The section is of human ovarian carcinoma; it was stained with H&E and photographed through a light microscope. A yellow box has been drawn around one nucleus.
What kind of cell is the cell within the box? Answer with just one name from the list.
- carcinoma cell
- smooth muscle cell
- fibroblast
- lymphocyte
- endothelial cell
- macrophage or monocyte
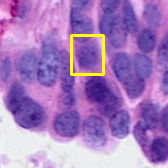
carcinoma cell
